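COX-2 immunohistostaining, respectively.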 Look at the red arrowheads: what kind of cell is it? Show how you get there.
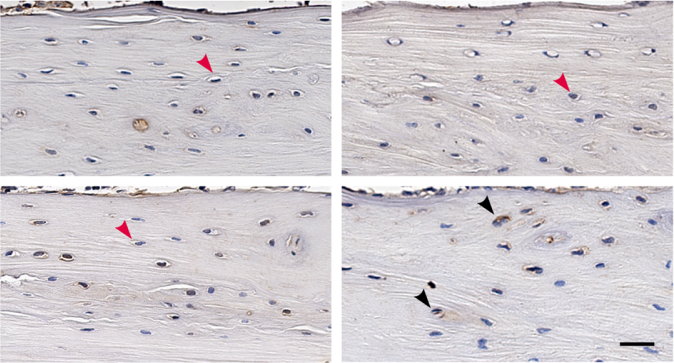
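The marked cells are small, flattened, with blue nuclei in spaces inside the matrix. They are spaced apart and oriented along the lamellae of the matrix.
Conclusion: osteocytes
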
